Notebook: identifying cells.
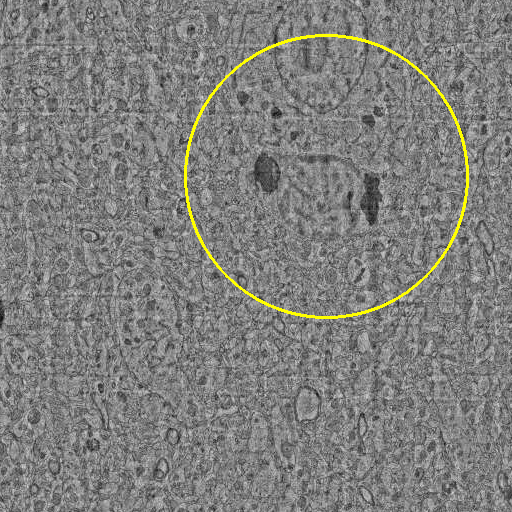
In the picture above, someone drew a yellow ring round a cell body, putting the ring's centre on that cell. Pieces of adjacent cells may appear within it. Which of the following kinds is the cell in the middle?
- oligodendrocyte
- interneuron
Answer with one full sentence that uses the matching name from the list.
In this picture, the yellow ring is centred on the body of an oligodendrocyte.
